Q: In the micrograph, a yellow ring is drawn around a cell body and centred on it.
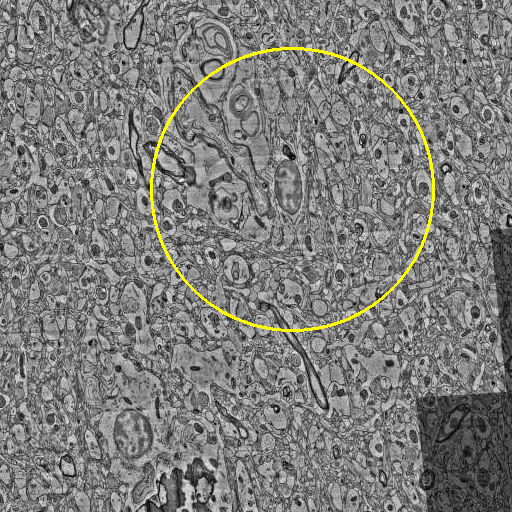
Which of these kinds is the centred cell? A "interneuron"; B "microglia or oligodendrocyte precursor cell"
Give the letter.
B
